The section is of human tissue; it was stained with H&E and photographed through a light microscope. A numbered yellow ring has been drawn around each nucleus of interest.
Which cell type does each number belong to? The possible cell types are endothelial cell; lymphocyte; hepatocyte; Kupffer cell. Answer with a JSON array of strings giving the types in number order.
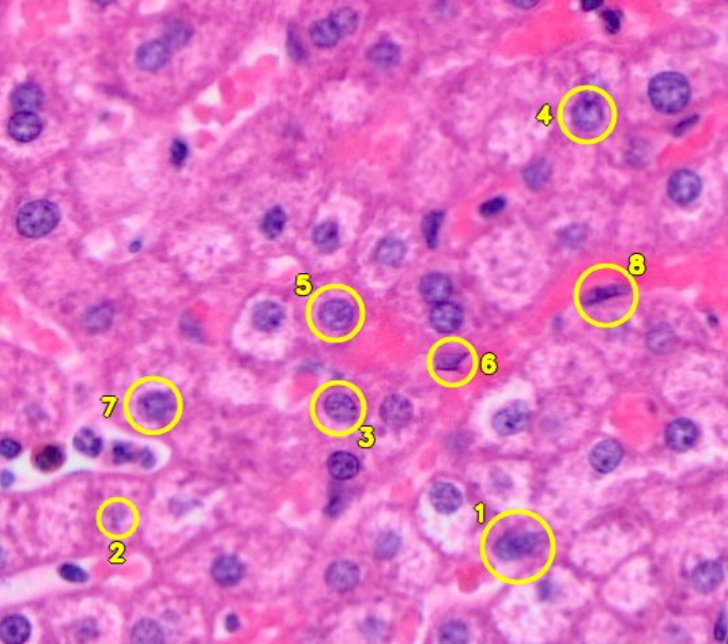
["endothelial cell", "hepatocyte", "hepatocyte", "hepatocyte", "hepatocyte", "endothelial cell", "hepatocyte", "Kupffer cell"]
